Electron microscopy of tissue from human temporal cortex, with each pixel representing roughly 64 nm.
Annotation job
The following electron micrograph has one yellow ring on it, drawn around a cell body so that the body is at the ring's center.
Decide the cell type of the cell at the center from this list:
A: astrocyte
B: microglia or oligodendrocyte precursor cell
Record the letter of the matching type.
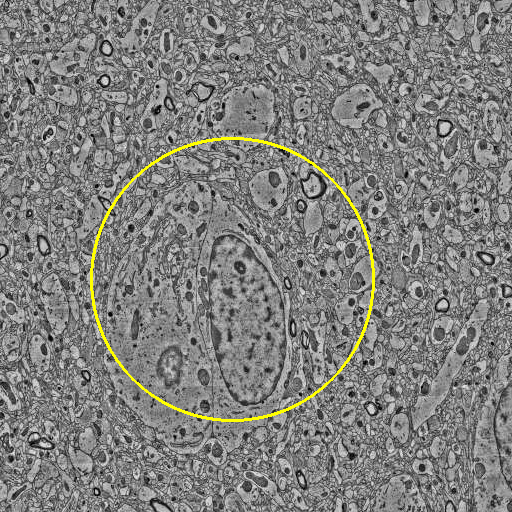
B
